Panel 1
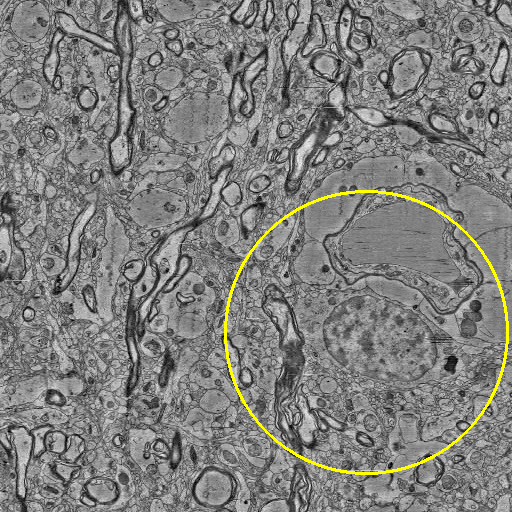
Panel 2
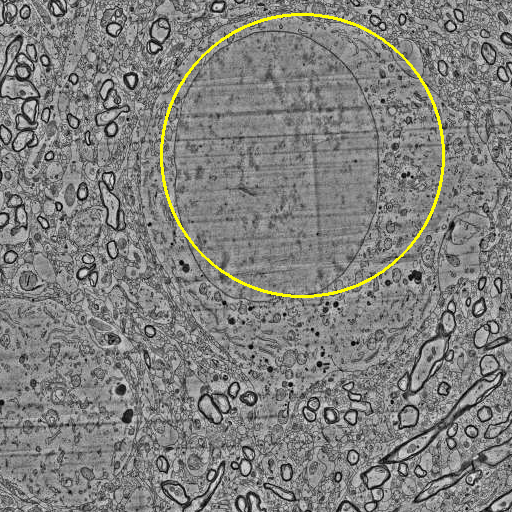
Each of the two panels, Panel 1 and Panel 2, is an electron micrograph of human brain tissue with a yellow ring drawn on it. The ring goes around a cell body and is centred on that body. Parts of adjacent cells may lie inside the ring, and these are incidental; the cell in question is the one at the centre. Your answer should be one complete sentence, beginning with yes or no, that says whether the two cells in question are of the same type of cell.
No, the two cells are of two types.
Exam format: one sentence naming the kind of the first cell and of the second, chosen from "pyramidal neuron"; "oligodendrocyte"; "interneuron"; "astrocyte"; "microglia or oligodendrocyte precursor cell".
The first picture's cell is an oligodendrocyte, and the second picture's cell is a pyramidal neuron.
